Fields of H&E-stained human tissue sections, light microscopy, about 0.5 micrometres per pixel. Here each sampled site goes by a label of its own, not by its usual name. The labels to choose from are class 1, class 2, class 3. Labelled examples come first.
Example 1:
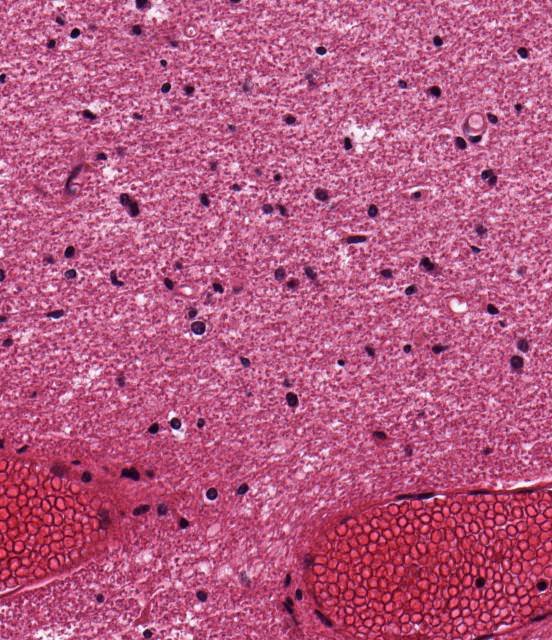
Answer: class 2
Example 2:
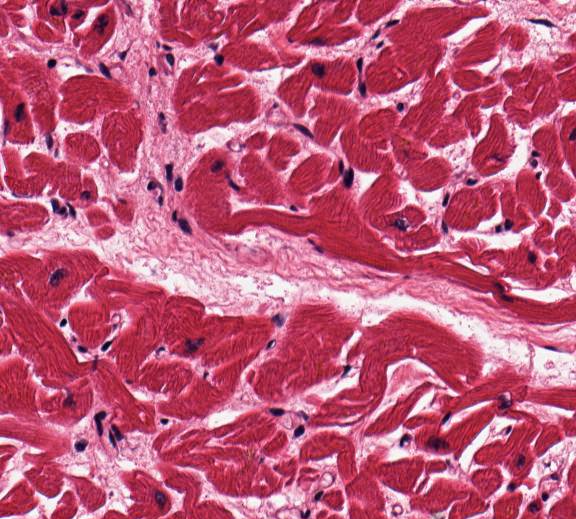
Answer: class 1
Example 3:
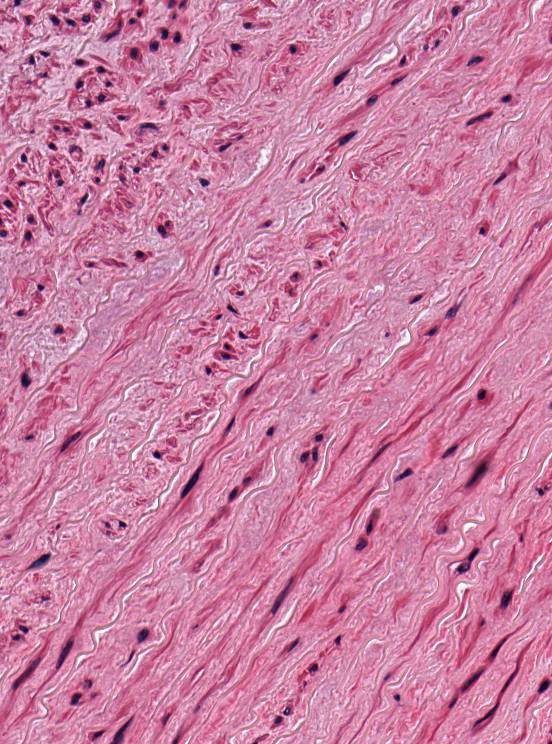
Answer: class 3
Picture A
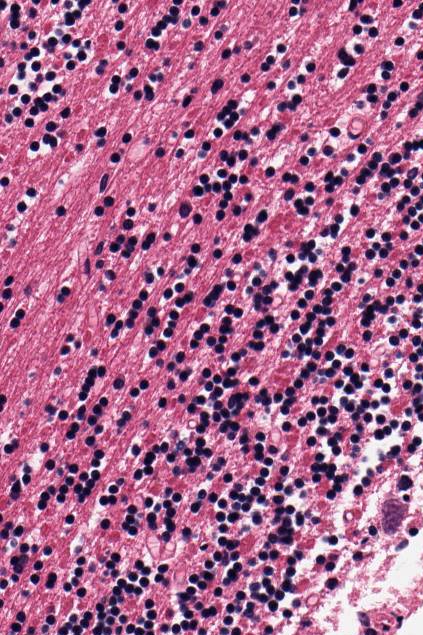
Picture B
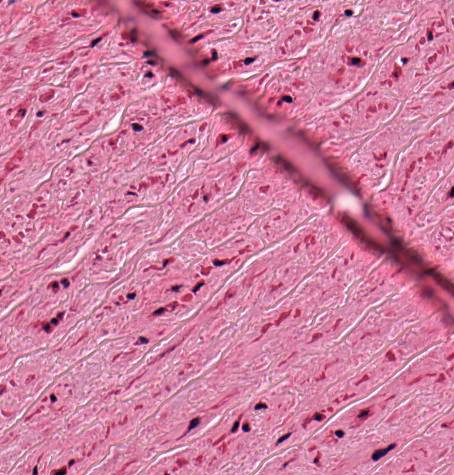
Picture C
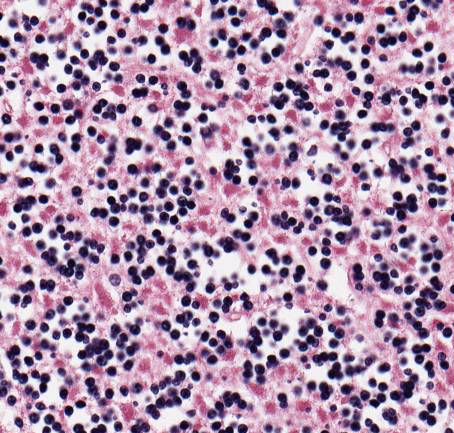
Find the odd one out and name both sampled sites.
B: class 3; all the others: class 2.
